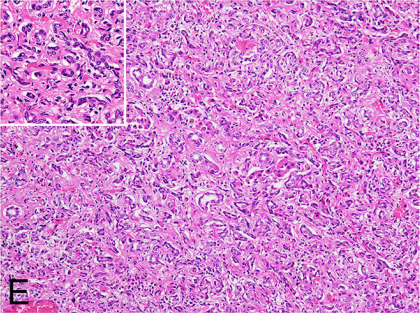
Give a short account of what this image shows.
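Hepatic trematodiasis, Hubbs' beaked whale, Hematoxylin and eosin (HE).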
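Here the normal liver plates are gone and replaced by a ductular reaction: innumerable small, irregular duct-like tubules lined by cuboidal to flattened epithelial cells with dark oval nuclei. The tubules are closely packed in a pale pink, loose stroma, many with narrow slit-like lumens. No recognisable hepatocyte cords remain in this field.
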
